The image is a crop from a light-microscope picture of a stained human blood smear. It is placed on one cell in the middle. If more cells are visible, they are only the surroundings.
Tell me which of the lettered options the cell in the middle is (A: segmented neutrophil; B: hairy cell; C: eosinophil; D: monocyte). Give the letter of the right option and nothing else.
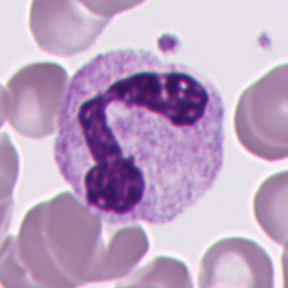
A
